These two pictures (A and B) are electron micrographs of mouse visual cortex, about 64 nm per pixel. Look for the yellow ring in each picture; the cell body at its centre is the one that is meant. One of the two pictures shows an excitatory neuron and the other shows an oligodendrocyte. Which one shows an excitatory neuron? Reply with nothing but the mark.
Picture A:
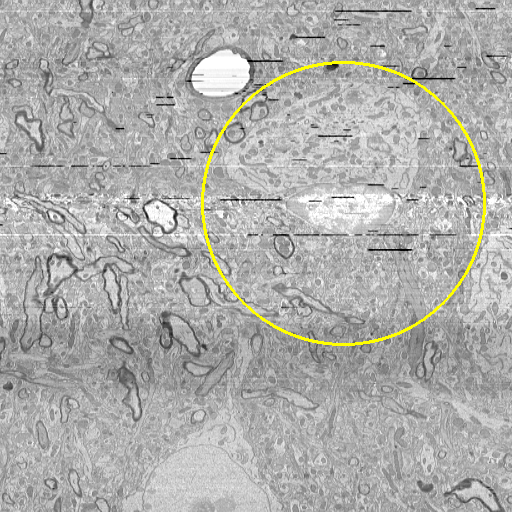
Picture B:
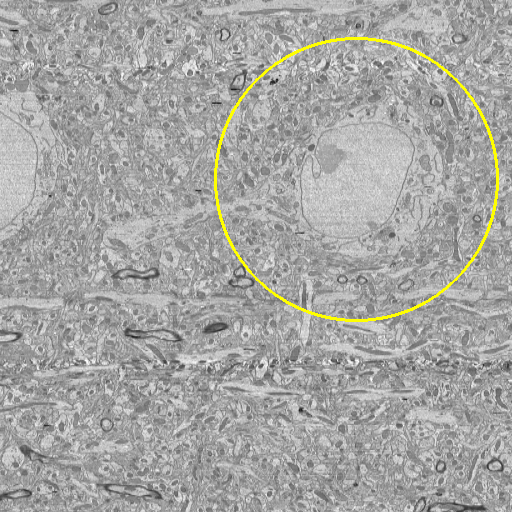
B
